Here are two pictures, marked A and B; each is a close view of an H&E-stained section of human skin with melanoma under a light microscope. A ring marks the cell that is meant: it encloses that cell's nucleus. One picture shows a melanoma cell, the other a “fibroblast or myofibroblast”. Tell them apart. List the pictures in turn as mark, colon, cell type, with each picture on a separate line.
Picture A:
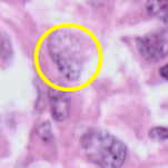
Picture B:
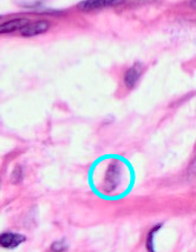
A: melanoma cell
B: fibroblast or myofibroblast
